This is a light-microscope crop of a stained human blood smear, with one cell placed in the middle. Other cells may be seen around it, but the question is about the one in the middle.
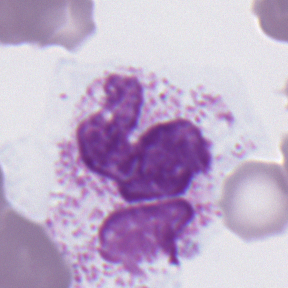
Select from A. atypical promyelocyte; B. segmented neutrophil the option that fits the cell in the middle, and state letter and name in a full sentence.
Here the right option is B, as the cell in the middle is a segmented neutrophil.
